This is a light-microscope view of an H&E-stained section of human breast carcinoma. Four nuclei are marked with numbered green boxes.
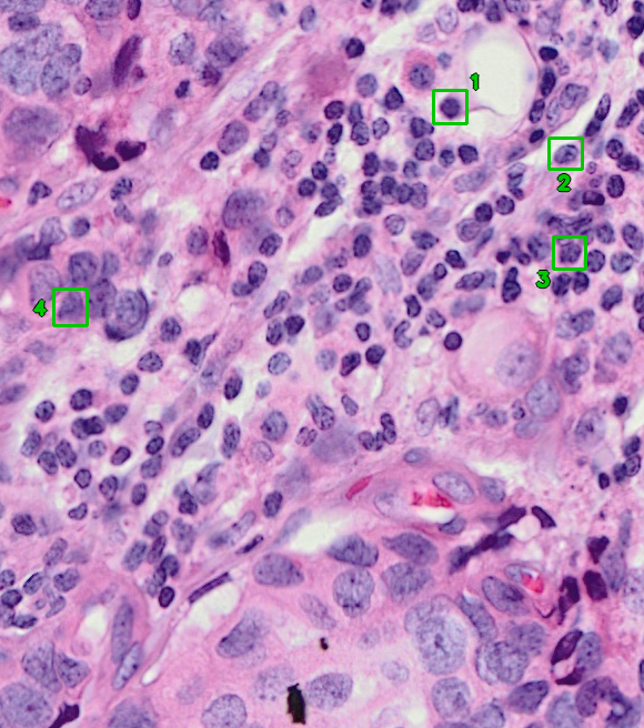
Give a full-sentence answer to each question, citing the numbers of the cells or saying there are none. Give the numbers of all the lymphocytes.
By cell type, the cells numbered 1, 2 and 3 are lymphocytes.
